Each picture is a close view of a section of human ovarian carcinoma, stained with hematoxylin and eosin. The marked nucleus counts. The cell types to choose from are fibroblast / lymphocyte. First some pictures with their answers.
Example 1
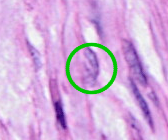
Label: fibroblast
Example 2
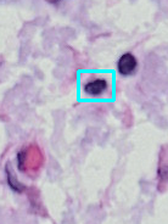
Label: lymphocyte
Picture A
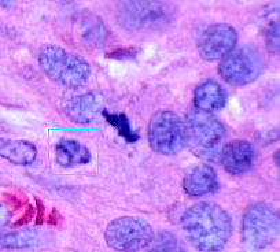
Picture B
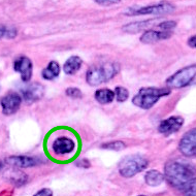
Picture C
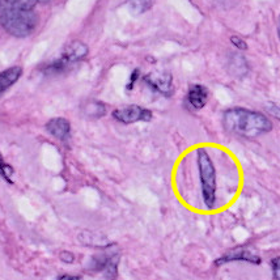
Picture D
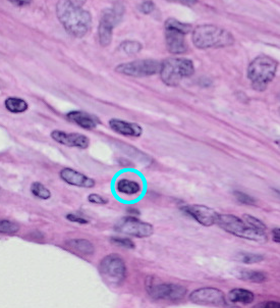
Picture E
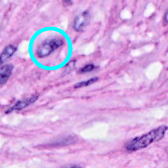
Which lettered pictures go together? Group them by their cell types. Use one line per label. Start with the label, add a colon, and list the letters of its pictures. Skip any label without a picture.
fibroblast: C, E
lymphocyte: A, B, D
